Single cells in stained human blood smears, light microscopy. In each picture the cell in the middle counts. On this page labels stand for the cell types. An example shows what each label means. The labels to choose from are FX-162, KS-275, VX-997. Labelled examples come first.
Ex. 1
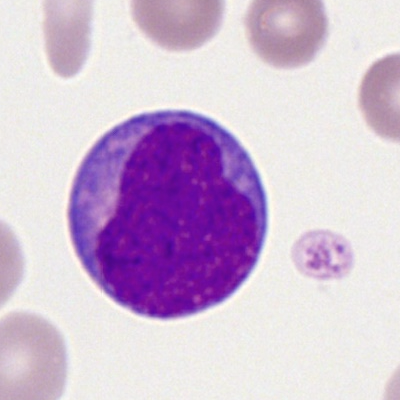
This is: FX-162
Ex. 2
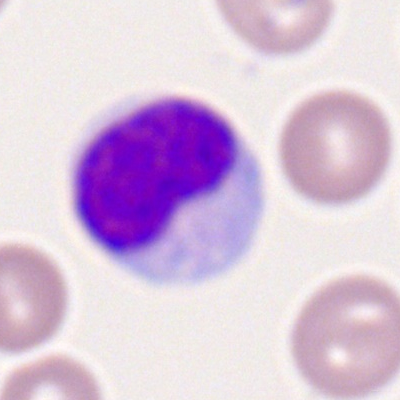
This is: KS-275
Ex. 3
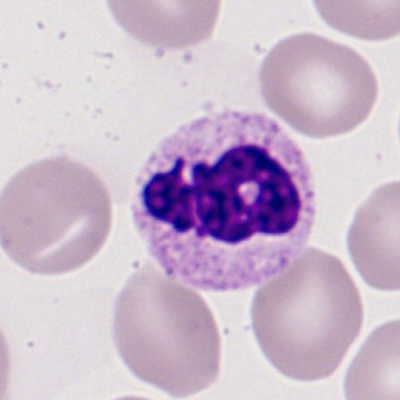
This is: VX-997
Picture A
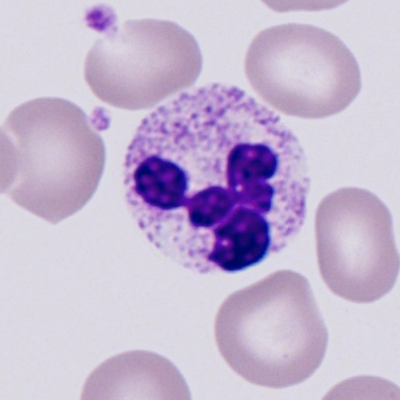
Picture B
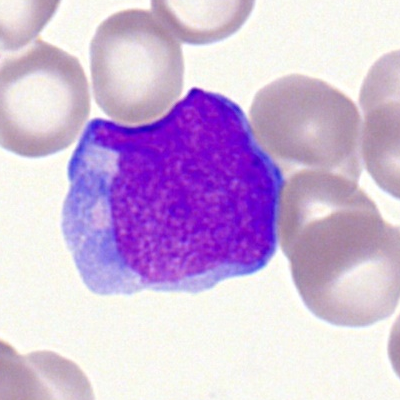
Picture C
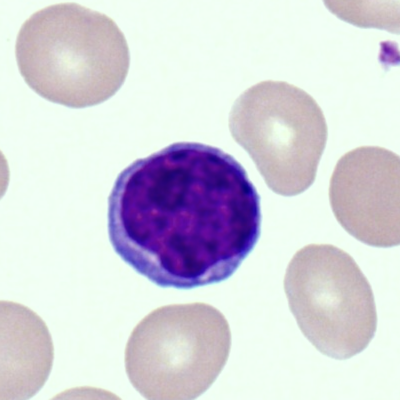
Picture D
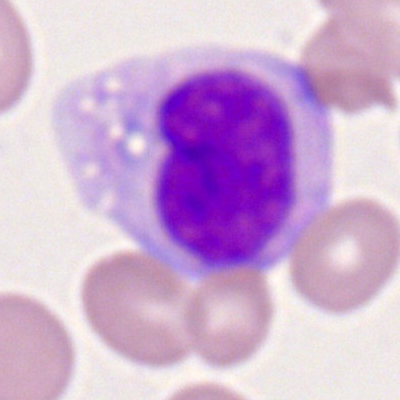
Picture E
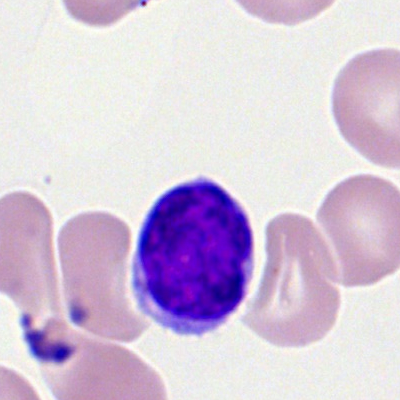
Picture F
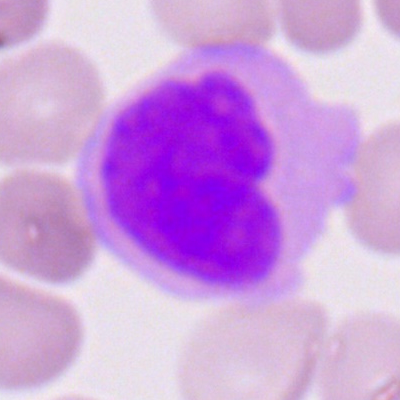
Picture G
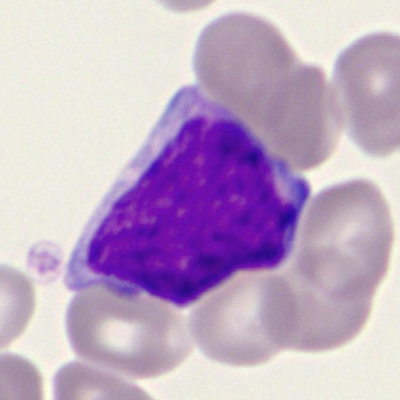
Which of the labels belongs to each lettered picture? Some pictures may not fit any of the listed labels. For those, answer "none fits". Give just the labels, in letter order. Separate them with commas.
VX-997, FX-162, KS-275, none fits, KS-275, none fits, FX-162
